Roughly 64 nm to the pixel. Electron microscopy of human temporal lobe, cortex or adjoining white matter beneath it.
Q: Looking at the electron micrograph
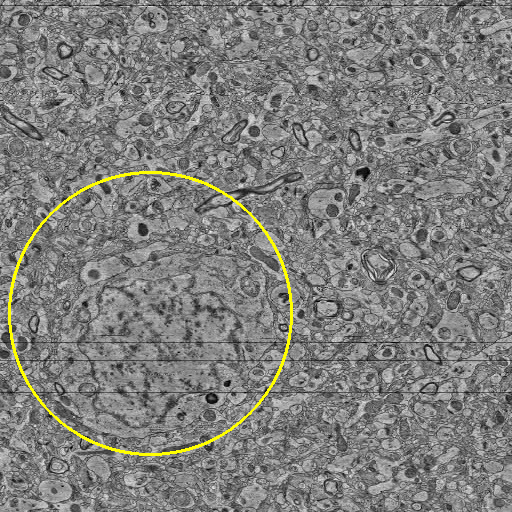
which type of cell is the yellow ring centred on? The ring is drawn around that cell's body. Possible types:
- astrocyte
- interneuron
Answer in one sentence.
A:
The yellow ring is centred on an interneuron.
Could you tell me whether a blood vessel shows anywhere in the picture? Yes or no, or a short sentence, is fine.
No, none shows.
